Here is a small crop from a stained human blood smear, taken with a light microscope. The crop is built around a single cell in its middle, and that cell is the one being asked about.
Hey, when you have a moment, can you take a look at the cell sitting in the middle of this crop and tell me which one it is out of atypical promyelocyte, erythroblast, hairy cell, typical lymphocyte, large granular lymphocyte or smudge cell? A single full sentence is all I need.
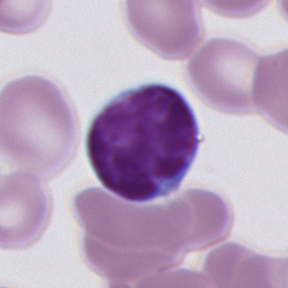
The cell at the central position in this crop is a typical lymphocyte.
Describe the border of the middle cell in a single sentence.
The outline traces a smooth curve with no projections along it.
